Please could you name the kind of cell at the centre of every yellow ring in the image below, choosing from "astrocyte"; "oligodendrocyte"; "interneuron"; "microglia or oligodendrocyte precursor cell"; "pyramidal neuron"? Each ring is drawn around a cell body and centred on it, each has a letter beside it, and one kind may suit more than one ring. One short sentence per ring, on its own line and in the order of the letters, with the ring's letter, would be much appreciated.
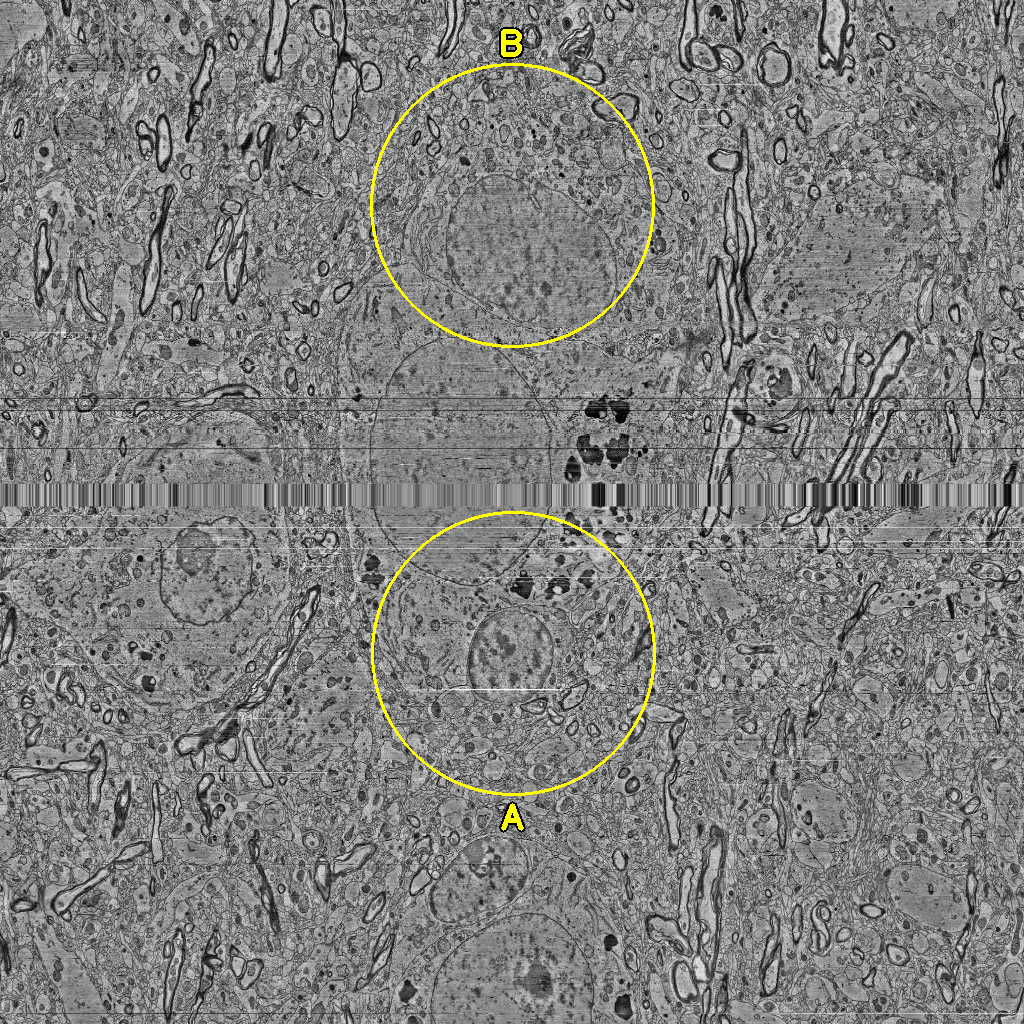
The cell in the middle of ring A is an oligodendrocyte.
The cell in the middle of ring B is an interneuron.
